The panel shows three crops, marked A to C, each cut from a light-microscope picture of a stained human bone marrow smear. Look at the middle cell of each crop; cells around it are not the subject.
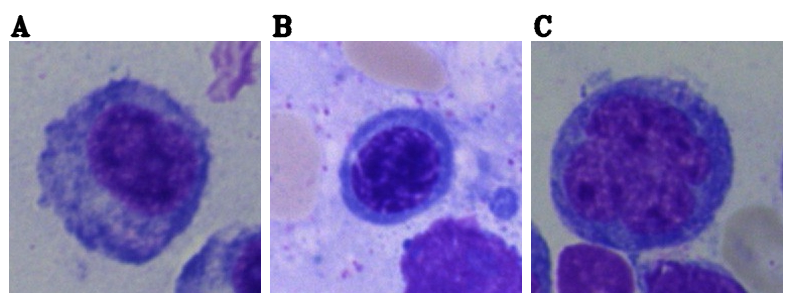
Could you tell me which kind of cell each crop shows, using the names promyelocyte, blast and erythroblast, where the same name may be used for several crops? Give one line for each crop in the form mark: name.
A: promyelocyte
B: erythroblast
C: blast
